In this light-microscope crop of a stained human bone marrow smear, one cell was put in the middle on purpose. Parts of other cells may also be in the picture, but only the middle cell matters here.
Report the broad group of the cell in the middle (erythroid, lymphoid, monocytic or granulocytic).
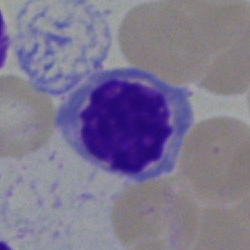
erythroid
